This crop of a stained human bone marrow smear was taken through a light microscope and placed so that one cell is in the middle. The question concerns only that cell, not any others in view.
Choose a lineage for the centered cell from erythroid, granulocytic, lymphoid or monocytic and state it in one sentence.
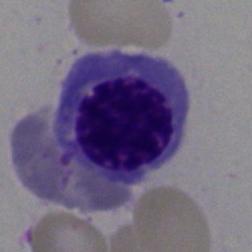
The cell at the center of the crop is assigned erythroid lineage.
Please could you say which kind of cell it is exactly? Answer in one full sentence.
In this crop, the cell at the very middle is an erythroblast.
